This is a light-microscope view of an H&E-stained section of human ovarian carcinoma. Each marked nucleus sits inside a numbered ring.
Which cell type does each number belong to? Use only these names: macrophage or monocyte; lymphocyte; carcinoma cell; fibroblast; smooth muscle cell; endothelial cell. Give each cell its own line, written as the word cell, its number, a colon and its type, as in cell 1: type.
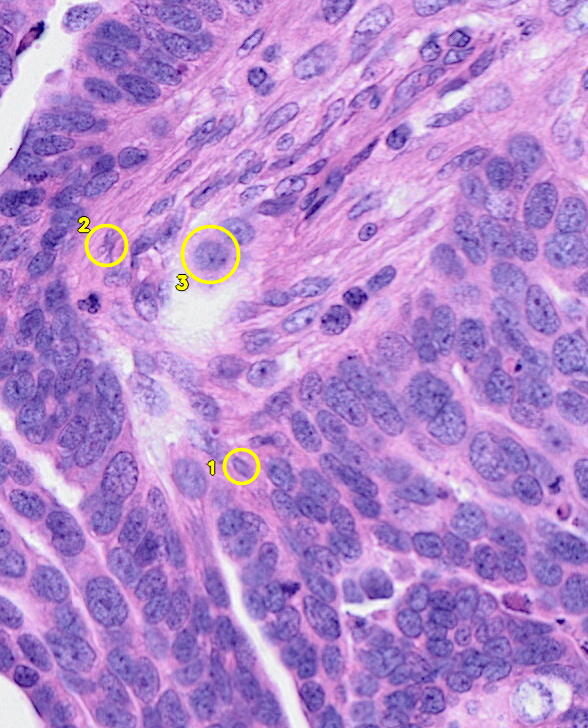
cell 1: fibroblast
cell 2: fibroblast
cell 3: carcinoma cell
